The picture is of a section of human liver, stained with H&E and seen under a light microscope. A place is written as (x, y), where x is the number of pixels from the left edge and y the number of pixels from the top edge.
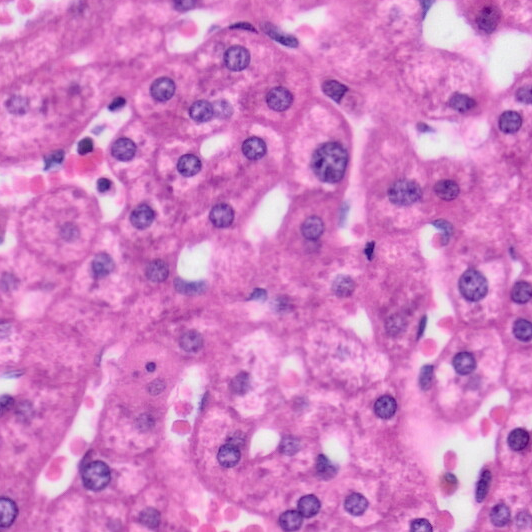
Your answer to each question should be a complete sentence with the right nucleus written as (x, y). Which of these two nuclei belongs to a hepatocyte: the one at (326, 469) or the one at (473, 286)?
The nucleus of the pair that lies within a hepatocyte is at (473, 286).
